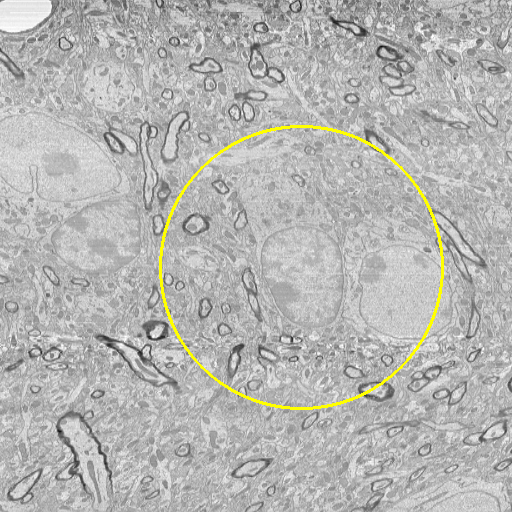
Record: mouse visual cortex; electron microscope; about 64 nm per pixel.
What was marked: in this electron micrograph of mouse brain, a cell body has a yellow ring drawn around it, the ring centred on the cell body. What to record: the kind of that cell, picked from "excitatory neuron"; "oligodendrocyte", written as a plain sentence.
The centred cell is an oligodendrocyte.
